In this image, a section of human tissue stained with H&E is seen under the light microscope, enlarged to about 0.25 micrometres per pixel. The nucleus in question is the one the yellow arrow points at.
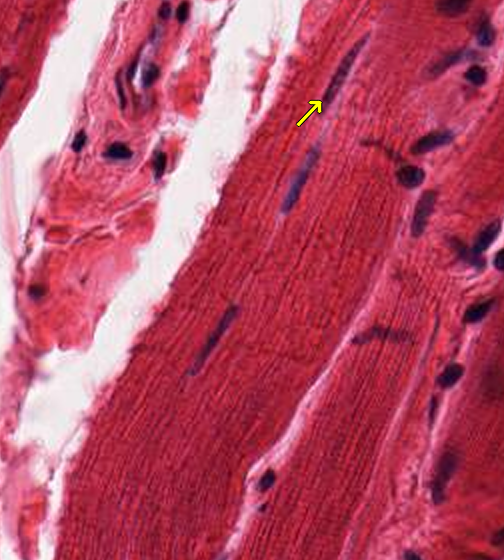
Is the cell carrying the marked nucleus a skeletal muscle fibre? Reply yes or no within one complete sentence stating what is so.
Yes, the marked nucleus is to be assigned to a skeletal muscle fibre.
